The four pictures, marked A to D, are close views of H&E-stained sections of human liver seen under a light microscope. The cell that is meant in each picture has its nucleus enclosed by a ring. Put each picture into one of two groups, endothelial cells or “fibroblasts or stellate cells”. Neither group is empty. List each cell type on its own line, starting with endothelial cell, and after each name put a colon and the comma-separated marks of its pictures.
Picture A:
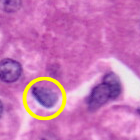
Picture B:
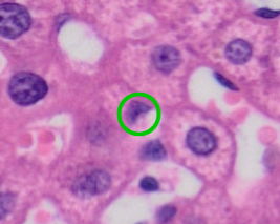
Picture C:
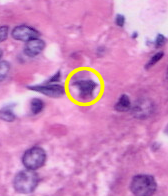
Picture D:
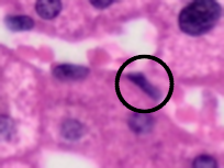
endothelial cell: A, B
fibroblast or stellate cell: C, D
